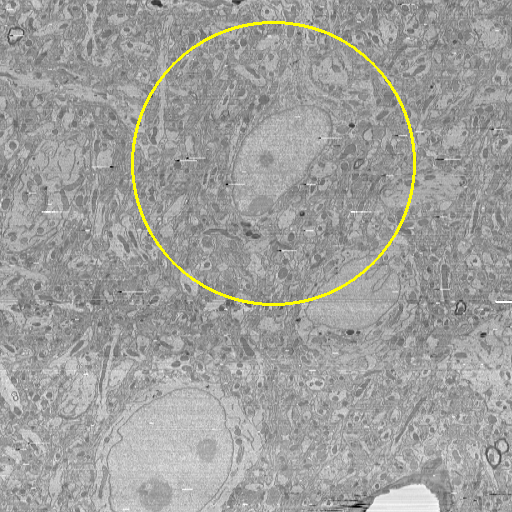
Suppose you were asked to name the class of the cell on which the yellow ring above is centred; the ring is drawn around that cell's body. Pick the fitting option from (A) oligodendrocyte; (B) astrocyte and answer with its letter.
B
